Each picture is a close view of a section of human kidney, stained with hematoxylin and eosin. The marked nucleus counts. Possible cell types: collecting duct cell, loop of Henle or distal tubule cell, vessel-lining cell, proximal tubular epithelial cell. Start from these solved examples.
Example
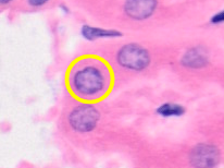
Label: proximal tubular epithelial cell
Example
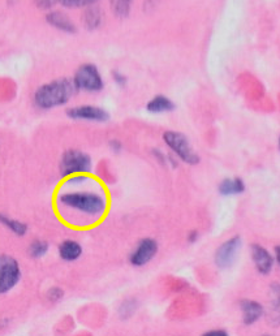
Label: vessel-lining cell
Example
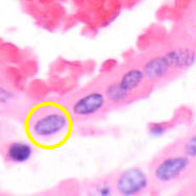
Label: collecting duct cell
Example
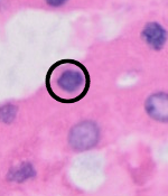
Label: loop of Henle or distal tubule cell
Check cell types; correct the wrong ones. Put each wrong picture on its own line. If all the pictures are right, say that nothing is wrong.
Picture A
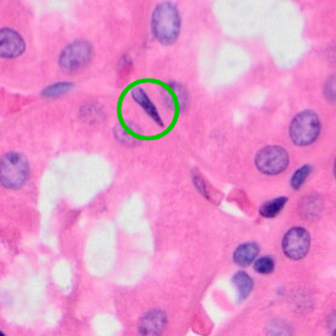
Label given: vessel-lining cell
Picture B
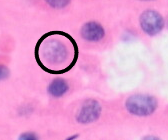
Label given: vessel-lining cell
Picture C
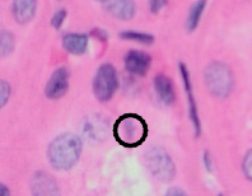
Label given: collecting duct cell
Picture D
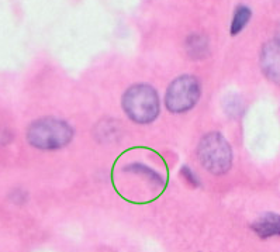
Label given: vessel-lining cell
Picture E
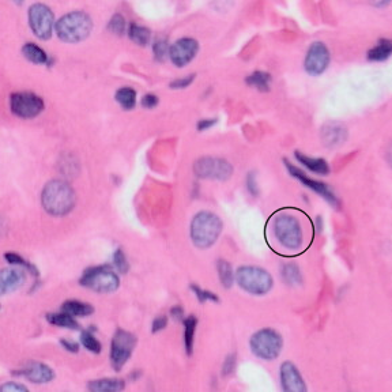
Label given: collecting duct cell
B: loop of Henle or distal tubule cell, not vessel-lining cell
